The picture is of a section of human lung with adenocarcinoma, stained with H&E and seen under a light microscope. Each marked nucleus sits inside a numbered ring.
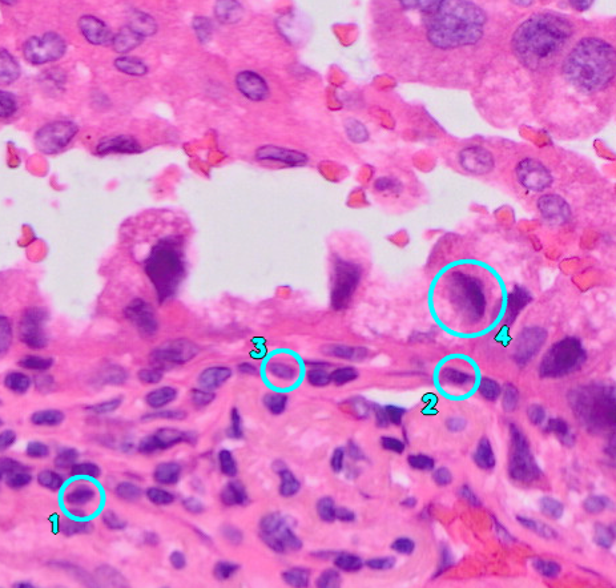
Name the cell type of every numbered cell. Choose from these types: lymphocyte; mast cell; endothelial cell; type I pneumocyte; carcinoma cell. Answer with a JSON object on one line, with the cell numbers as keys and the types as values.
{"1": "lymphocyte", "2": "lymphocyte", "3": "lymphocyte", "4": "carcinoma cell"}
